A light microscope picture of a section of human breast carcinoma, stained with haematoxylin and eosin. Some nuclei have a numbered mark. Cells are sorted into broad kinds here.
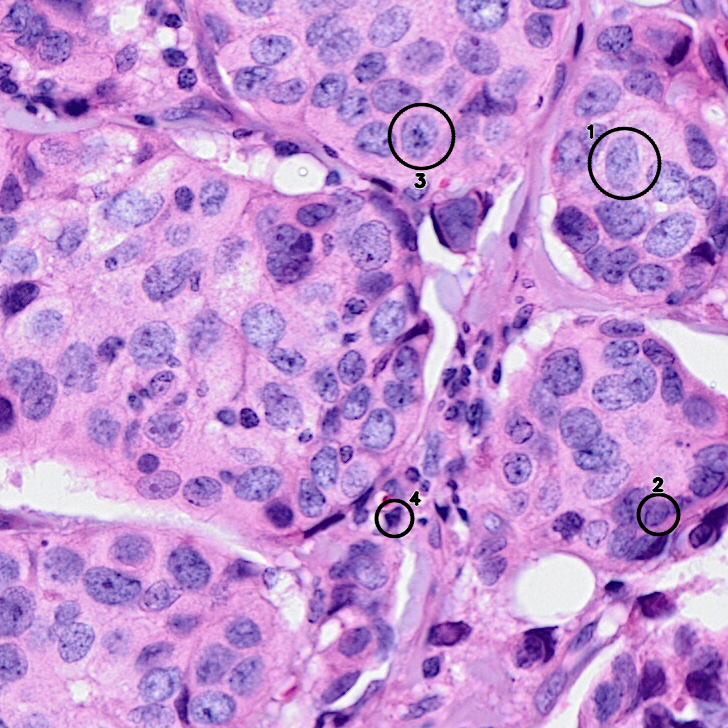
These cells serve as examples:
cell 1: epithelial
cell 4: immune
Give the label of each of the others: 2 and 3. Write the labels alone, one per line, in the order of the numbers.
epithelial
epithelial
